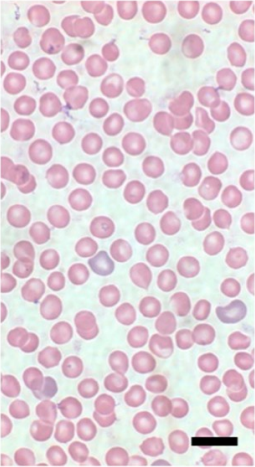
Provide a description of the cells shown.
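This is a peripheral blood smear in which almost every cell is a mature red blood cell. They are small, round, pink discs with no nucleus, lying close together across the field, many touching or slightly overlapping. Their size and shape are strikingly even, and several show a slightly paler centre. Only an occasional cell is a little larger and tinged faintly blue-purple rather than pink. Between the red cells small pale purple specks can be seen, which are consistent with platelets. The overall picture is of a crowded, uniform population of red cells.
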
